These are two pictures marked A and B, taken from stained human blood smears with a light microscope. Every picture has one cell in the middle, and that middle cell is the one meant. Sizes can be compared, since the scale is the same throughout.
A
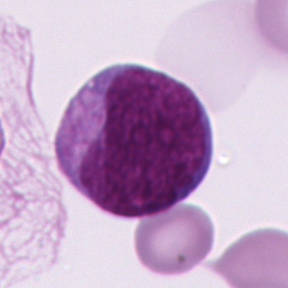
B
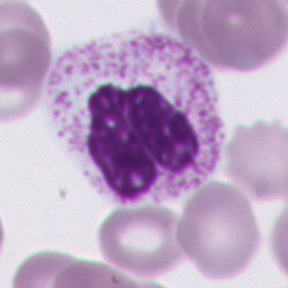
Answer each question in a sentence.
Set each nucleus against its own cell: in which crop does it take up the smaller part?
It is the cell in picture B that is filled less by its nucleus.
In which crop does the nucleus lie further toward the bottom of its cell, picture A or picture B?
It is the nucleus in picture B that lies further toward the bottom of its cell.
